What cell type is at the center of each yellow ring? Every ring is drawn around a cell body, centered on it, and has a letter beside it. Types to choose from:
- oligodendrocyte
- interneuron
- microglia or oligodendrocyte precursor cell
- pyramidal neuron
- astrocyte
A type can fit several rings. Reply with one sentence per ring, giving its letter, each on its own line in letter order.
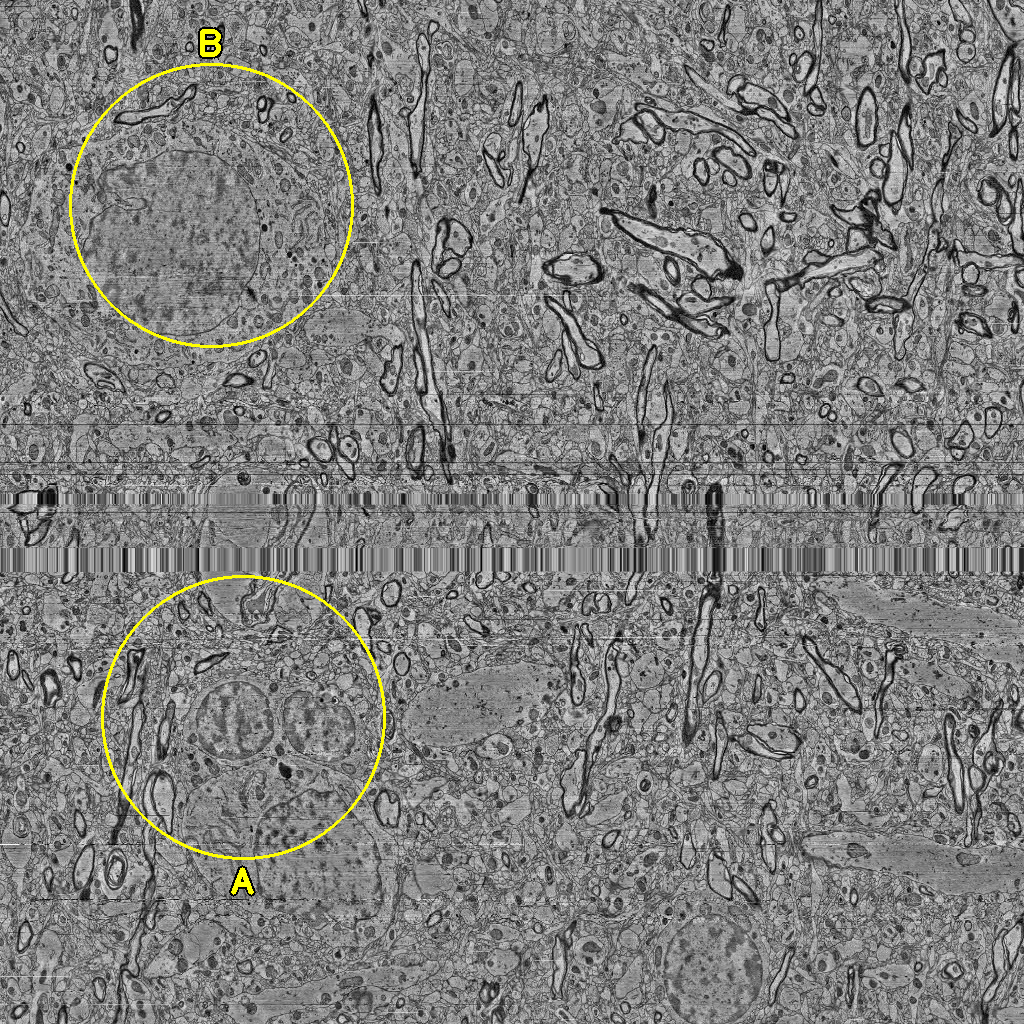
Ring A is placed around an oligodendrocyte.
Ring B is placed around an interneuron.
